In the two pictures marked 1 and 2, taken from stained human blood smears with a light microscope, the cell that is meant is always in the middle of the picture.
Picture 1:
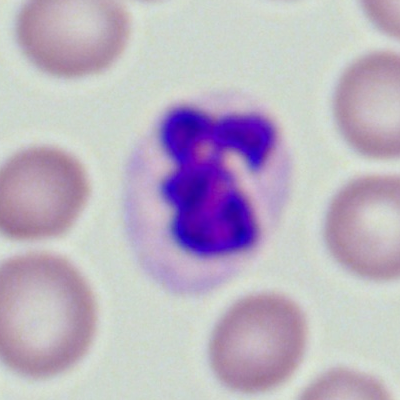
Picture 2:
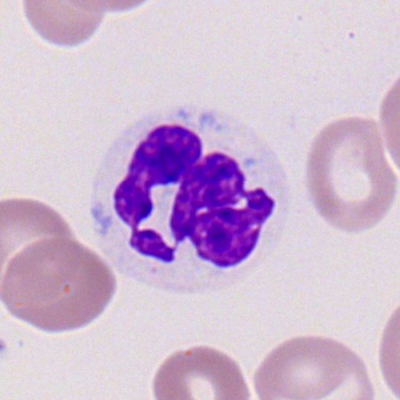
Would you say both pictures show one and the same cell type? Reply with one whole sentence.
Yes, both are segmented neutrophils.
